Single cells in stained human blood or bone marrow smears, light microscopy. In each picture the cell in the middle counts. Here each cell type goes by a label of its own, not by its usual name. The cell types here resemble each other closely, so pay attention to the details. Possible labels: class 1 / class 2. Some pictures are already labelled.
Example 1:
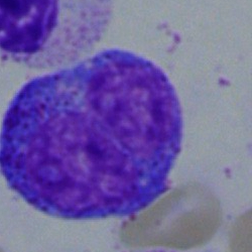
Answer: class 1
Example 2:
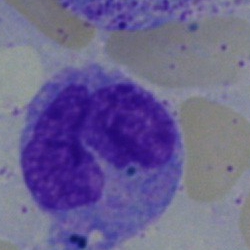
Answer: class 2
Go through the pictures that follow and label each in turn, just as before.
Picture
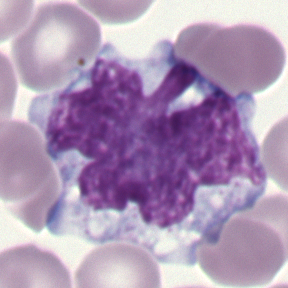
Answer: class 2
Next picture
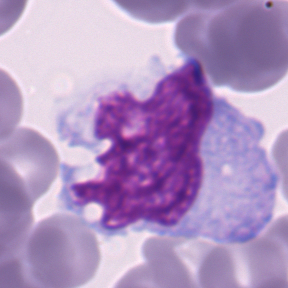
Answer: class 2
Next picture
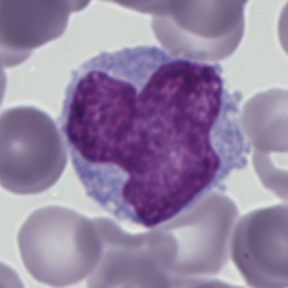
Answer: class 2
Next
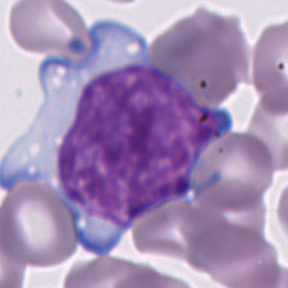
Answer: class 1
